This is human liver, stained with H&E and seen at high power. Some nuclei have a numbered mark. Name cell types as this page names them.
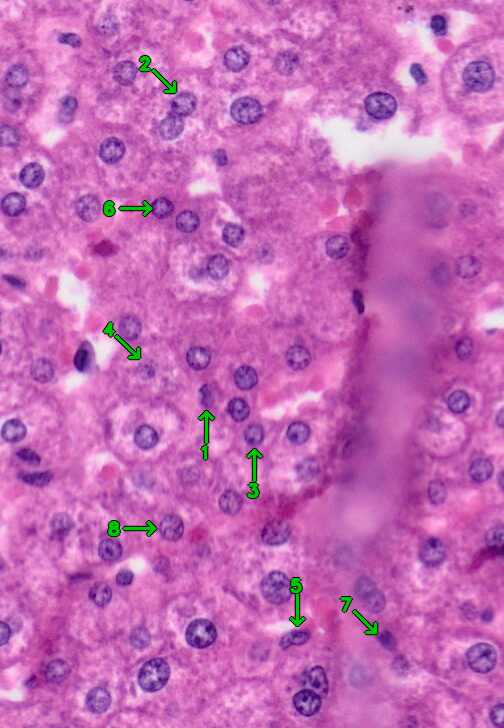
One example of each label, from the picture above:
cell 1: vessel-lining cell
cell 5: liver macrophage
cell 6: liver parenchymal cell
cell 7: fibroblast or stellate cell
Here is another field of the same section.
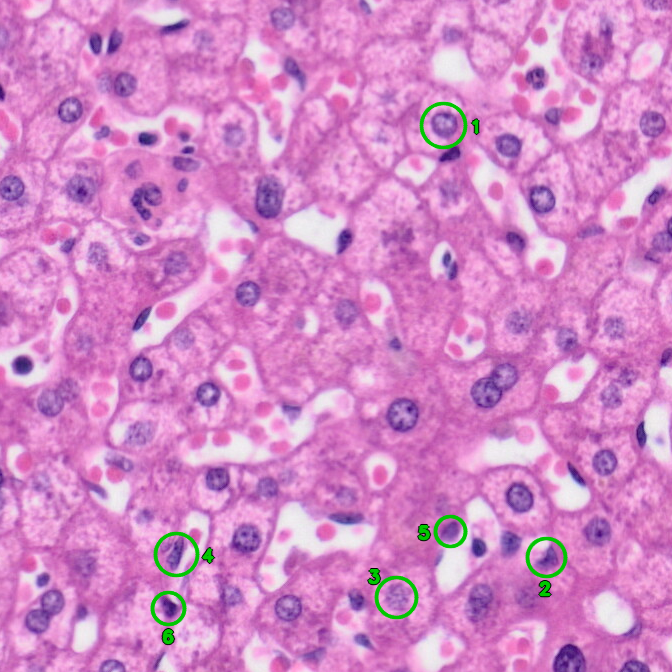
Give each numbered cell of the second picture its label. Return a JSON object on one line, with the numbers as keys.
{"1": "liver parenchymal cell", "2": "vessel-lining cell", "3": "liver parenchymal cell", "4": "liver macrophage", "5": "liver macrophage", "6": "fibroblast or stellate cell"}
